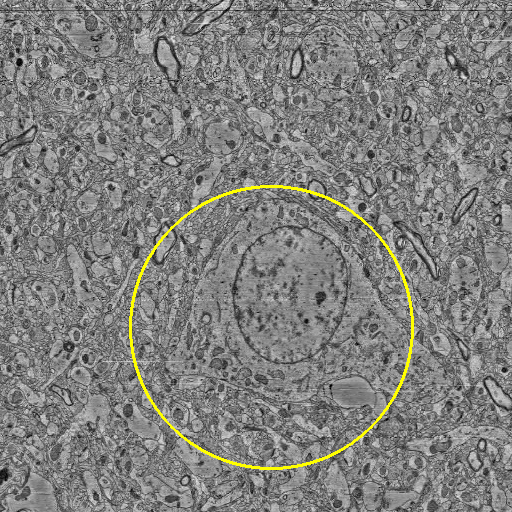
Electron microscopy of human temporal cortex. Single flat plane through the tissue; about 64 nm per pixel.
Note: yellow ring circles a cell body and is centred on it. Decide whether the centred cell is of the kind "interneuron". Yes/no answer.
No, the centred cell is of another kind.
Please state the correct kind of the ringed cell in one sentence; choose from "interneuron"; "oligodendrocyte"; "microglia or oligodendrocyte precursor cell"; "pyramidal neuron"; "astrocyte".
Instead, the cell inside the ring is a pyramidal neuron.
